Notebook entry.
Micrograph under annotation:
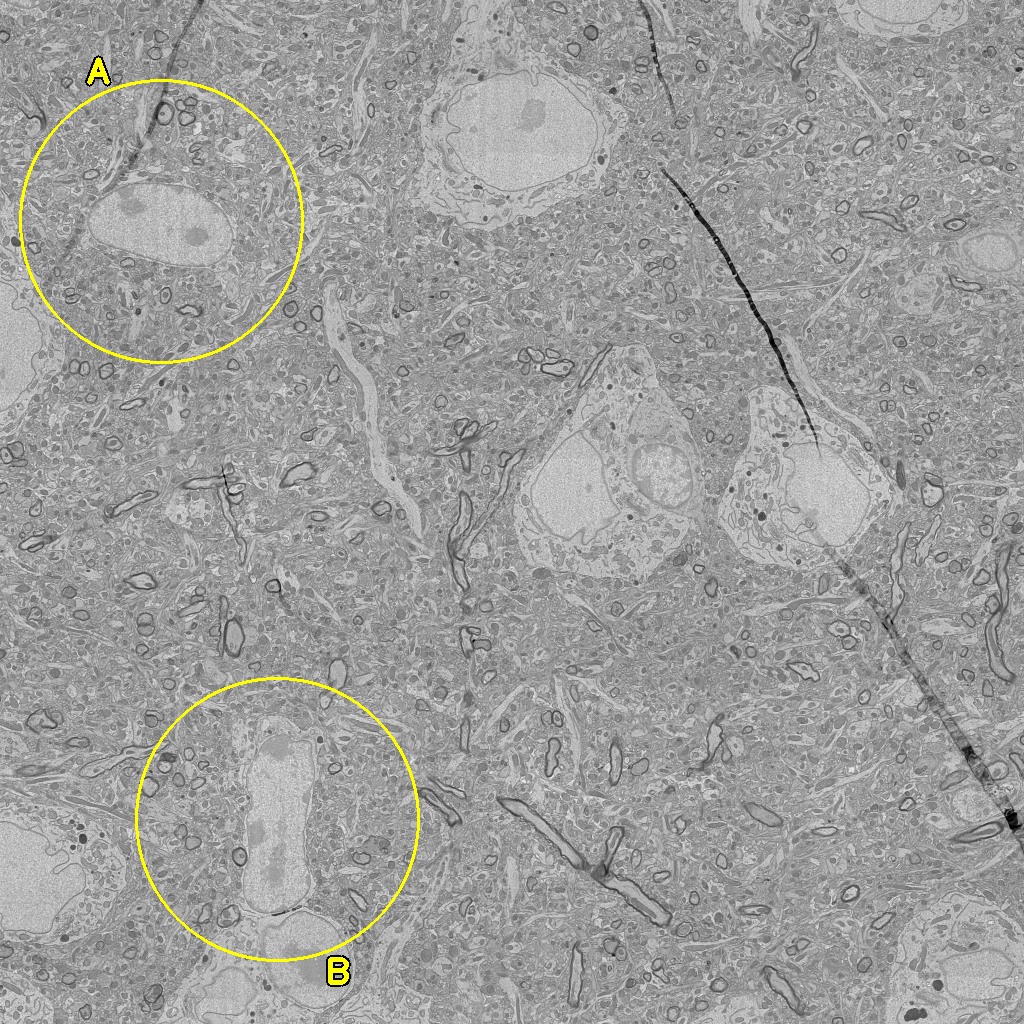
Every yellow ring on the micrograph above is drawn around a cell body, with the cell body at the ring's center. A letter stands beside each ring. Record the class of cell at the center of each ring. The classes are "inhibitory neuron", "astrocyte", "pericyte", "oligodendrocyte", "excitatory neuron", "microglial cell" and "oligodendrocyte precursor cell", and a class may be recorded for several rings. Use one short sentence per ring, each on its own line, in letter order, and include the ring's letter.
Ring A is centered on an astrocyte.
Ring B is centered on an oligodendrocyte precursor cell.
